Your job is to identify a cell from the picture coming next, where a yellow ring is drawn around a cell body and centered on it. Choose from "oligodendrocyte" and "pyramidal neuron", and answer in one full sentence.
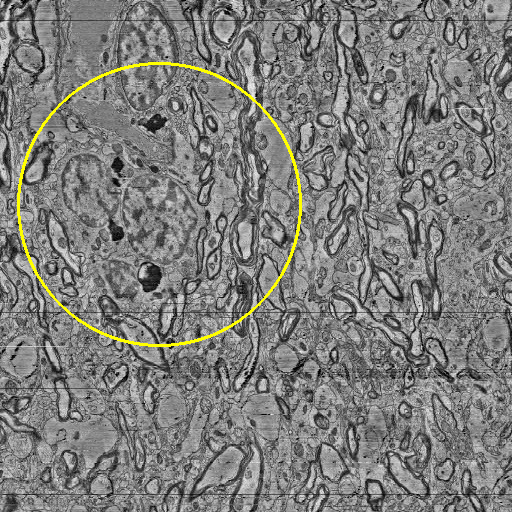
Centered in the yellow ring of the picture is the body of an oligodendrocyte.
